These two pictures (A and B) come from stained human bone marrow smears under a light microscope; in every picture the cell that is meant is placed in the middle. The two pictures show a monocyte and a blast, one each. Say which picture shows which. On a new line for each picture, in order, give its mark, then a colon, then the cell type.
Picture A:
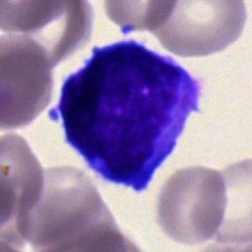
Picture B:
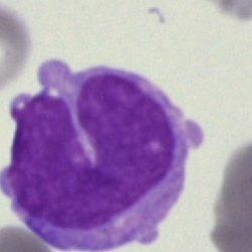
A: blast
B: monocyte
